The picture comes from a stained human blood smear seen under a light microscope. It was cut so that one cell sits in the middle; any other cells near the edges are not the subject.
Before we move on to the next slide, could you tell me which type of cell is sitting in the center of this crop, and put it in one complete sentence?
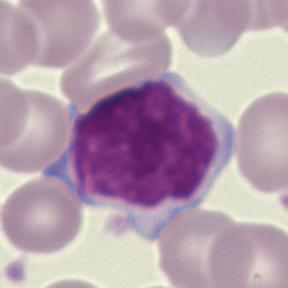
The cell positioned in the middle of the field is a lymphocyte.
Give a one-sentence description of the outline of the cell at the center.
The cell margin is rough and uneven, either ragged or drawn into projections.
